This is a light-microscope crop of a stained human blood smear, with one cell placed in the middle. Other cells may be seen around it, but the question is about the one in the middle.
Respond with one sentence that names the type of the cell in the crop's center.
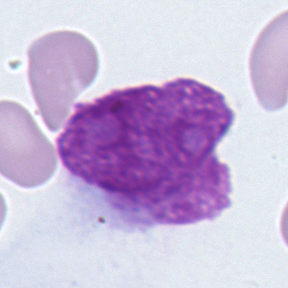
This particular crop is centered on a smudge cell.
